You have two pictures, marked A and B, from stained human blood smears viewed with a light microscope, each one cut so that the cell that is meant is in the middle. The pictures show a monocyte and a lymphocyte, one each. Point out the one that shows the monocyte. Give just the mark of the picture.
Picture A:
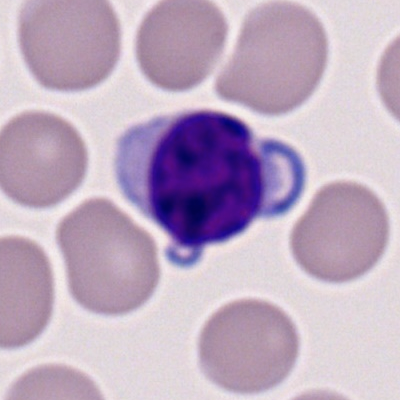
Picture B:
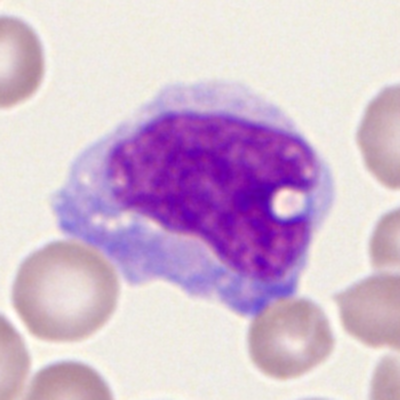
B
